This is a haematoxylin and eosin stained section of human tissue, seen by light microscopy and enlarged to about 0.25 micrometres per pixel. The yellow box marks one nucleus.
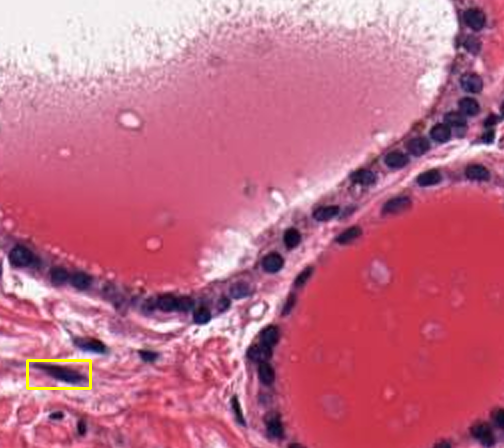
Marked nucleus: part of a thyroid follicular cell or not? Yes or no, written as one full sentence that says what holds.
No, it is not a thyroid follicular cell but a supporting cell to which the marked nucleus is assigned.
